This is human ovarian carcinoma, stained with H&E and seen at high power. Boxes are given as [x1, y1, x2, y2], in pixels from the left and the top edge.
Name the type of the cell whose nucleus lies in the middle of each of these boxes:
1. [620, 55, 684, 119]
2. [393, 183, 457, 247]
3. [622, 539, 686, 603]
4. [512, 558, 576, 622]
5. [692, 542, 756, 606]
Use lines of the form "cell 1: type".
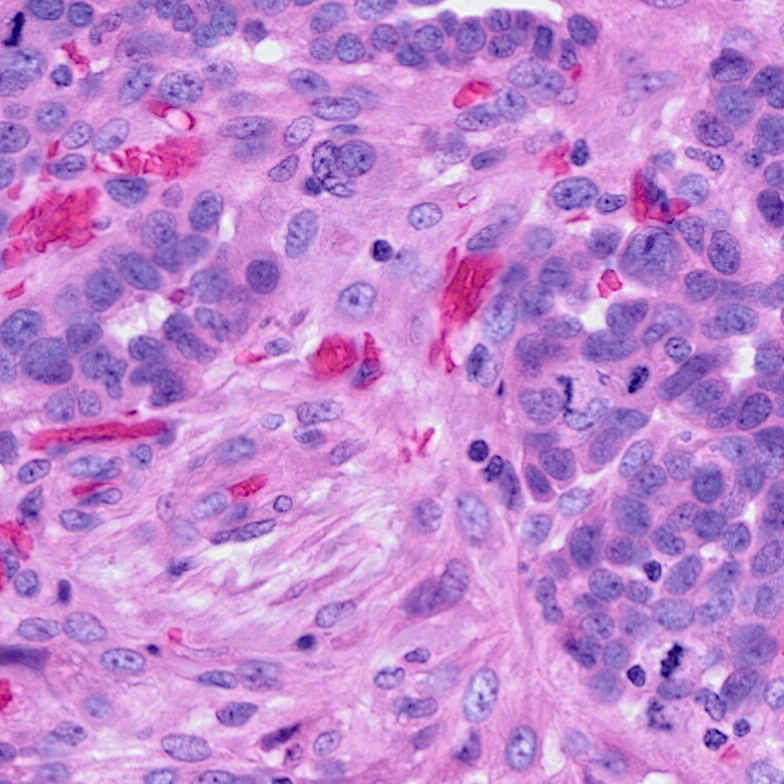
cell 1: fibroblast
cell 2: fibroblast
cell 3: lymphocyte
cell 4: macrophage or monocyte
cell 5: carcinoma cell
